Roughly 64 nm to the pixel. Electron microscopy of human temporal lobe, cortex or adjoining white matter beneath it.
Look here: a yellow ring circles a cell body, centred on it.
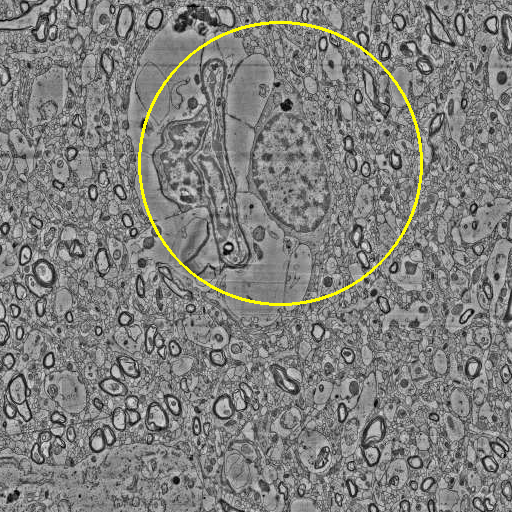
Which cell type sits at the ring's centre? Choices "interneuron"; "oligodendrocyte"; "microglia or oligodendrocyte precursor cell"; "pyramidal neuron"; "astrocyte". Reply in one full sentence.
The cell at the centre of the yellow ring in the picture is an oligodendrocyte.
